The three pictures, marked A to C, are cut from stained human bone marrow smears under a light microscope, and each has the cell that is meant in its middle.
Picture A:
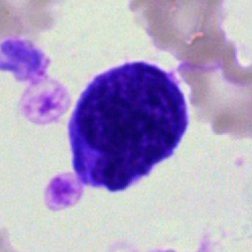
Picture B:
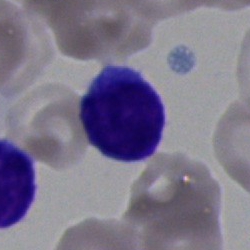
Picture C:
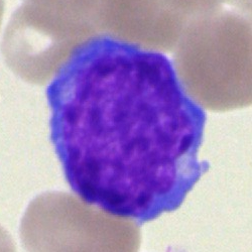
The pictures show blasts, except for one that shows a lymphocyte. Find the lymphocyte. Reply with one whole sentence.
Picture B shows the lymphocyte.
